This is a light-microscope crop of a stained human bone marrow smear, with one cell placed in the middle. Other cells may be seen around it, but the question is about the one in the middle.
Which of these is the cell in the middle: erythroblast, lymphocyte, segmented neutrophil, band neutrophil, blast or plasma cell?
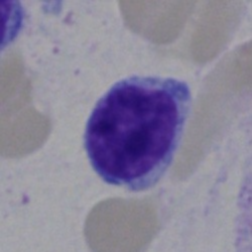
lymphocyte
